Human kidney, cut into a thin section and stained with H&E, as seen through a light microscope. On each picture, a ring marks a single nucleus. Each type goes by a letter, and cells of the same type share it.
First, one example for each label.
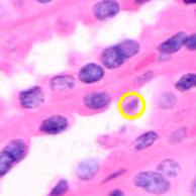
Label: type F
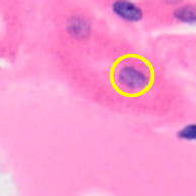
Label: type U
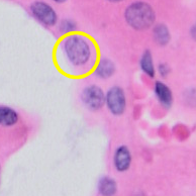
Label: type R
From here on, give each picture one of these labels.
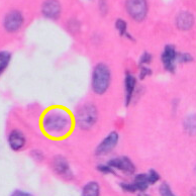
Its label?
type F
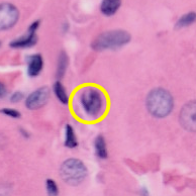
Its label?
type F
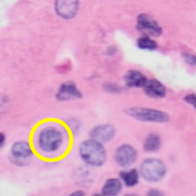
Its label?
type R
